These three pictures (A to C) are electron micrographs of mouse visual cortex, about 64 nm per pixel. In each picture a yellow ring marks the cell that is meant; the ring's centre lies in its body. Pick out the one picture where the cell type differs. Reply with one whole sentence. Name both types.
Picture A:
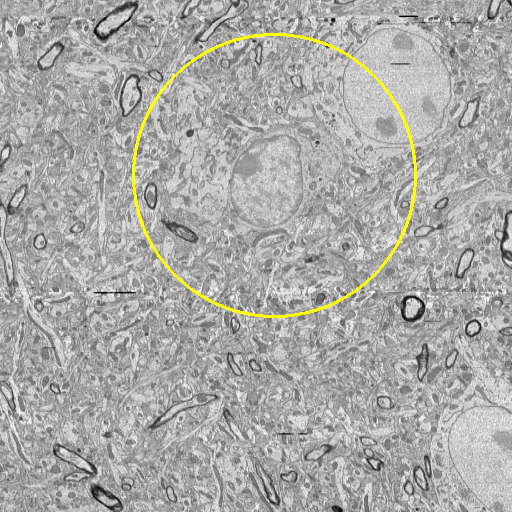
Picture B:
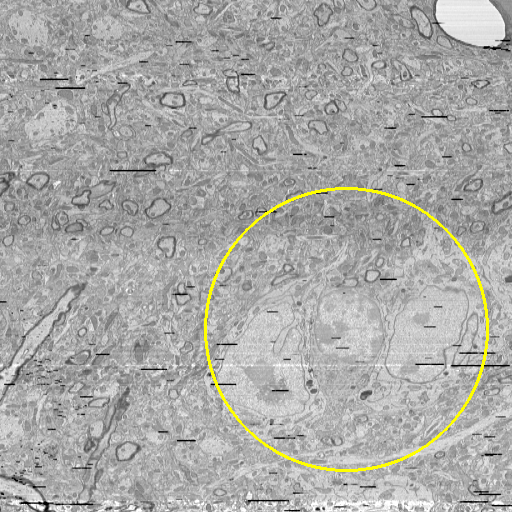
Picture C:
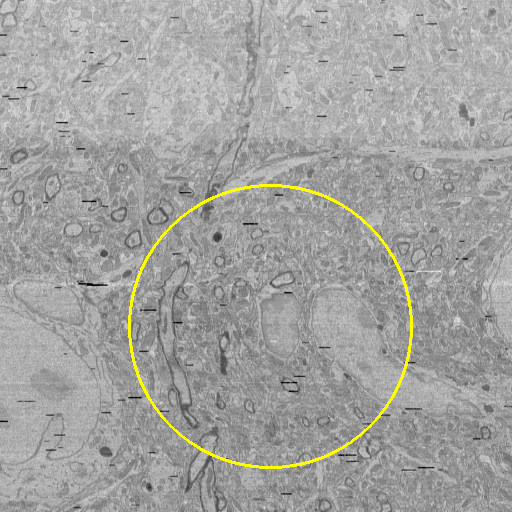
The different one is picture C; it shows a microglial cell, whereas all the others show oligodendrocytes.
